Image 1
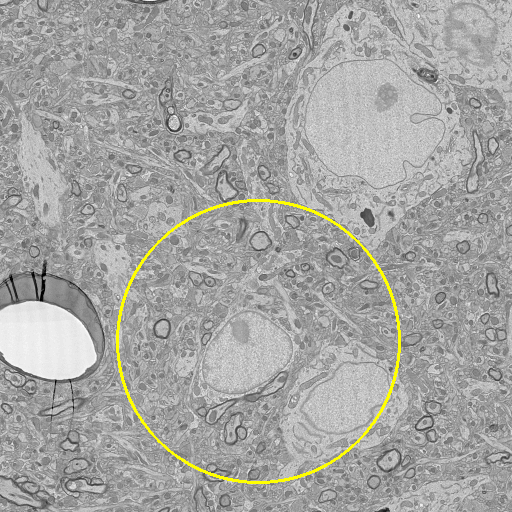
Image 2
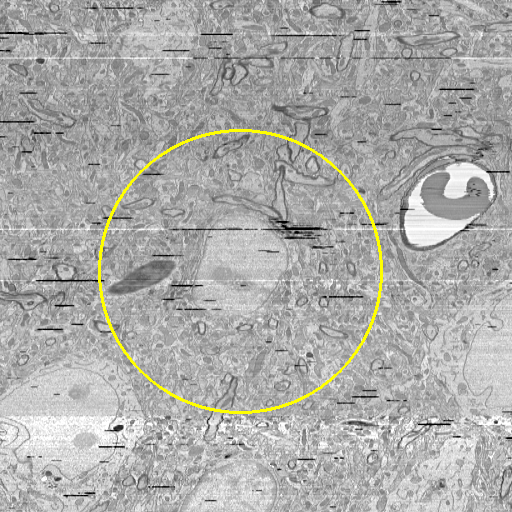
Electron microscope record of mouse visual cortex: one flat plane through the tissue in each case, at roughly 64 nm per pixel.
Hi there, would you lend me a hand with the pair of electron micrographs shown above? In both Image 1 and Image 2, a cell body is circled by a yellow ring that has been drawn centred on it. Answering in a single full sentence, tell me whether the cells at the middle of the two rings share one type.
Yes, the ringed cells in Image 1 and Image 2 share one type.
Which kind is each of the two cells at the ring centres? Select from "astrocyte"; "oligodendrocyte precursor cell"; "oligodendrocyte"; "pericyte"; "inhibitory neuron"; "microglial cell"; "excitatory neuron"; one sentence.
In each picture the ringed cell is an astrocyte.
